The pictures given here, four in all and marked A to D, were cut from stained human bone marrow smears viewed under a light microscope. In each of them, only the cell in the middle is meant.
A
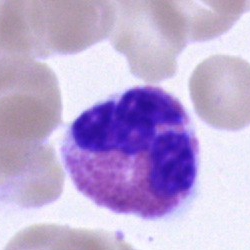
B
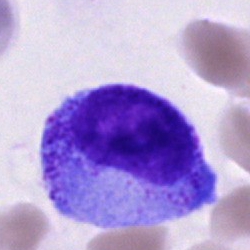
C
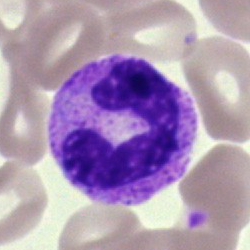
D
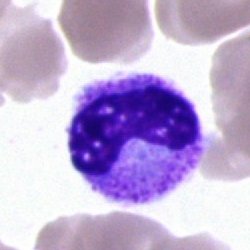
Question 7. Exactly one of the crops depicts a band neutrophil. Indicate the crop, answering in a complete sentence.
Crop D is where a band neutrophil is shown.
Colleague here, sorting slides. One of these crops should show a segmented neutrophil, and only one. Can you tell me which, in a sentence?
Among the crops provided, a segmented neutrophil occupies the center of crop C.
